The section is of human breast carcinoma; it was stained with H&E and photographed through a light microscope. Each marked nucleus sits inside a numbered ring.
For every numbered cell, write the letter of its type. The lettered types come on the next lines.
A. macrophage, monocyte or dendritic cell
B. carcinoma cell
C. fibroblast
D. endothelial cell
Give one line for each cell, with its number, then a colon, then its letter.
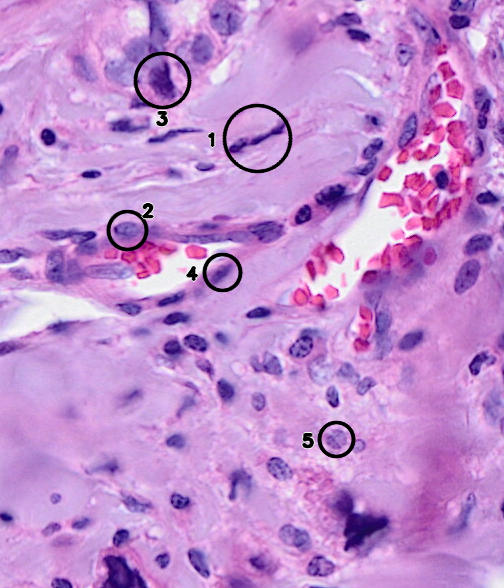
1: C
2: D
3: B
4: D
5: A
